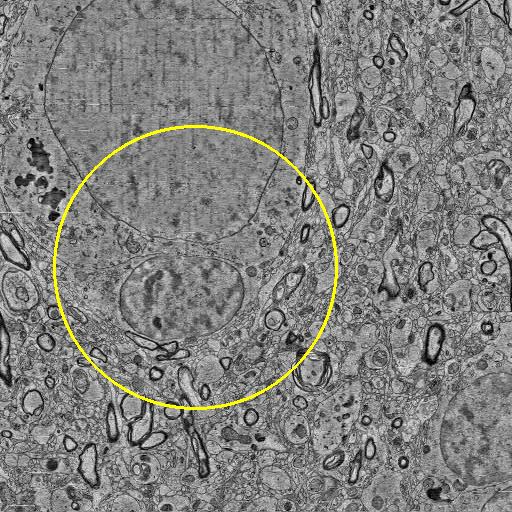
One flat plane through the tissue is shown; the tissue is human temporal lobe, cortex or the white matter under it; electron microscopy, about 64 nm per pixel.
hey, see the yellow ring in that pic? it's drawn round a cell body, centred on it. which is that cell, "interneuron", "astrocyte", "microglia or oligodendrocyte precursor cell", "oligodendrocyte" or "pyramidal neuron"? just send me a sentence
The cell in the ring is an oligodendrocyte.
